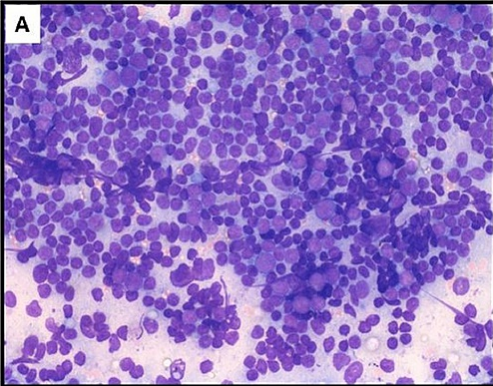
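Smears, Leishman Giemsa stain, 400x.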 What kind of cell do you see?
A: reactive lymphoid cells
